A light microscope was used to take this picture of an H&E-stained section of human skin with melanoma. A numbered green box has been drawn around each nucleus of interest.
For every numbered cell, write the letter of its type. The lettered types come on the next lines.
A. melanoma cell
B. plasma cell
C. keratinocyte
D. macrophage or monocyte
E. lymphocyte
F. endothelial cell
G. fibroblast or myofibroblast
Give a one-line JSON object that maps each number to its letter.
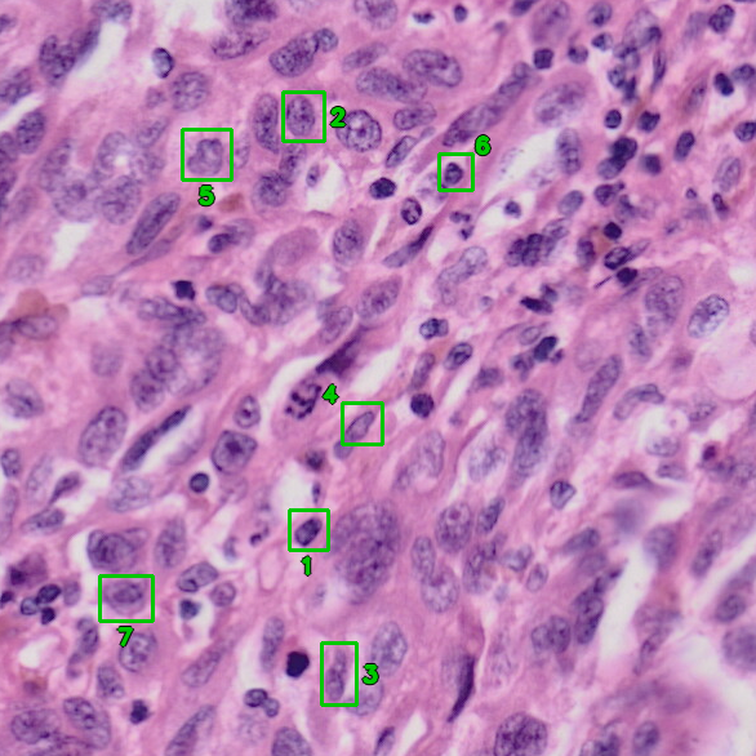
{"1": "E", "2": "A", "3": "A", "4": "D", "5": "D", "6": "E", "7": "A"}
